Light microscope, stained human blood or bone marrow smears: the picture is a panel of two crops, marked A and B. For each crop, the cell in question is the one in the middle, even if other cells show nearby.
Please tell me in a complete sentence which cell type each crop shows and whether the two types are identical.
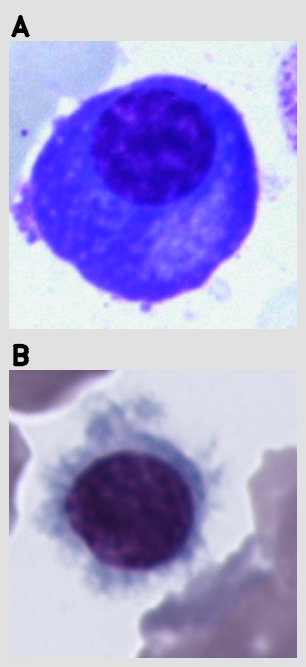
No, a plasma cell is depicted by crop A, a hairy cell by crop B.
